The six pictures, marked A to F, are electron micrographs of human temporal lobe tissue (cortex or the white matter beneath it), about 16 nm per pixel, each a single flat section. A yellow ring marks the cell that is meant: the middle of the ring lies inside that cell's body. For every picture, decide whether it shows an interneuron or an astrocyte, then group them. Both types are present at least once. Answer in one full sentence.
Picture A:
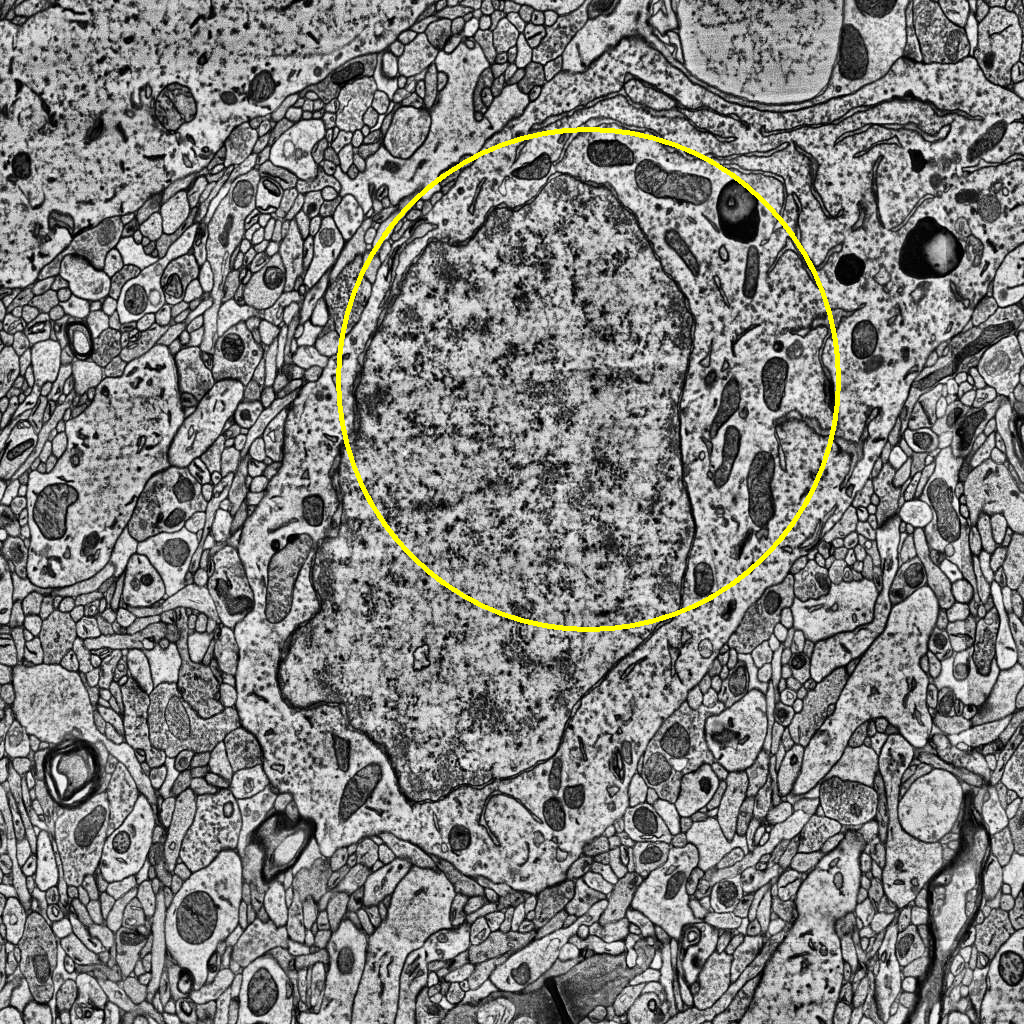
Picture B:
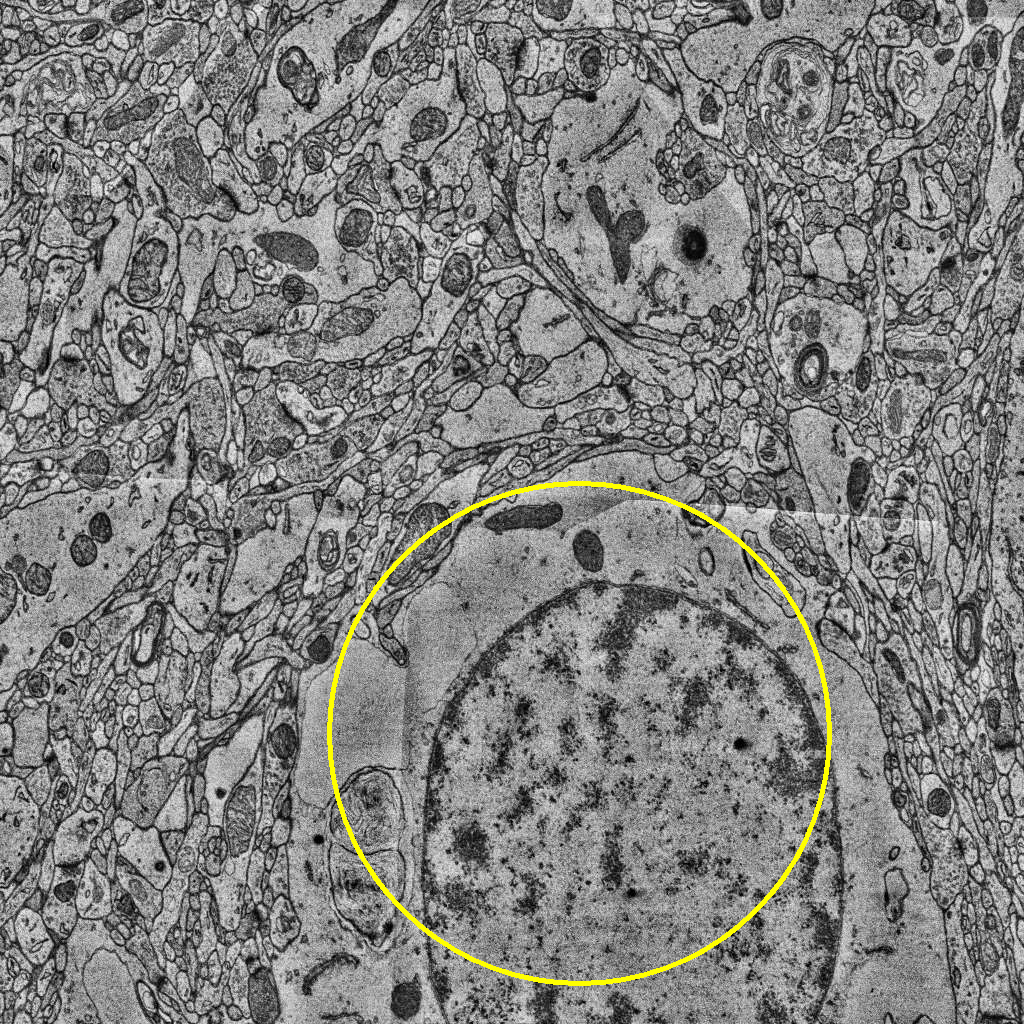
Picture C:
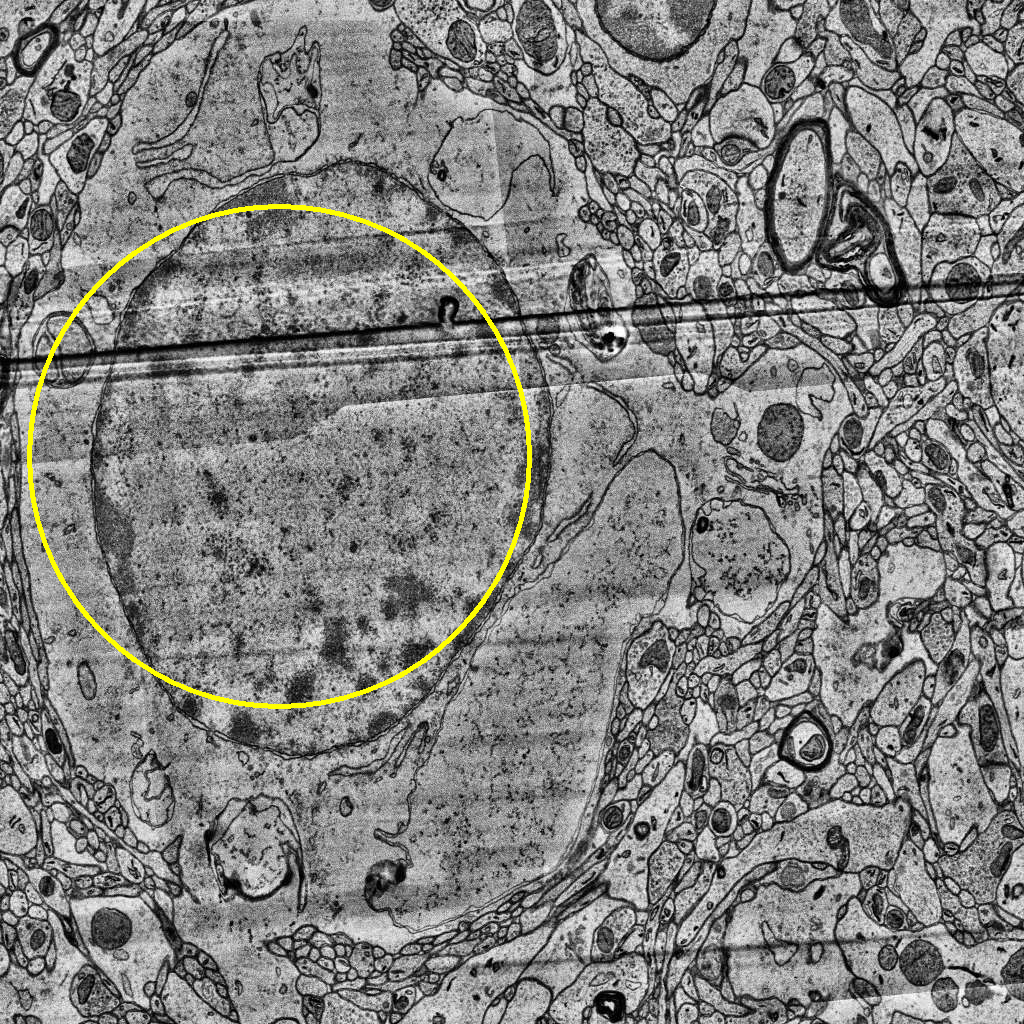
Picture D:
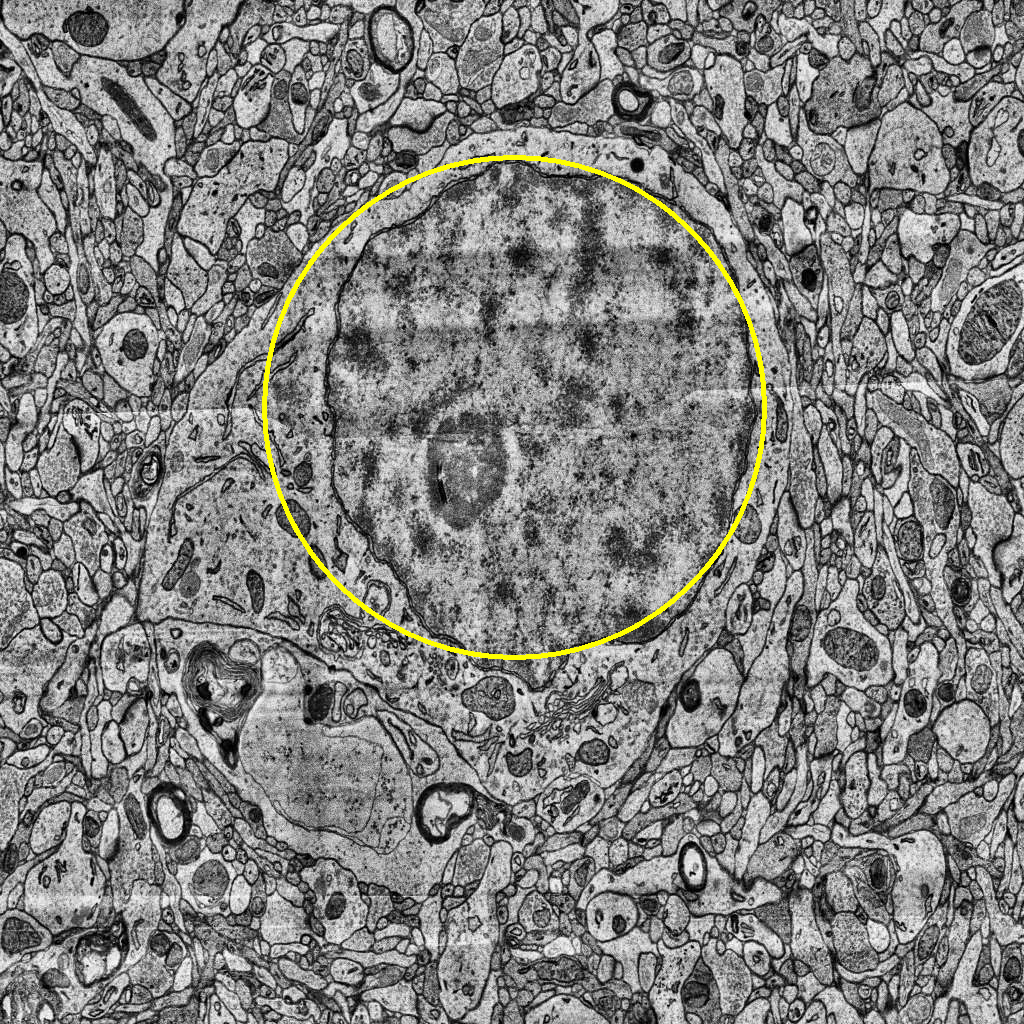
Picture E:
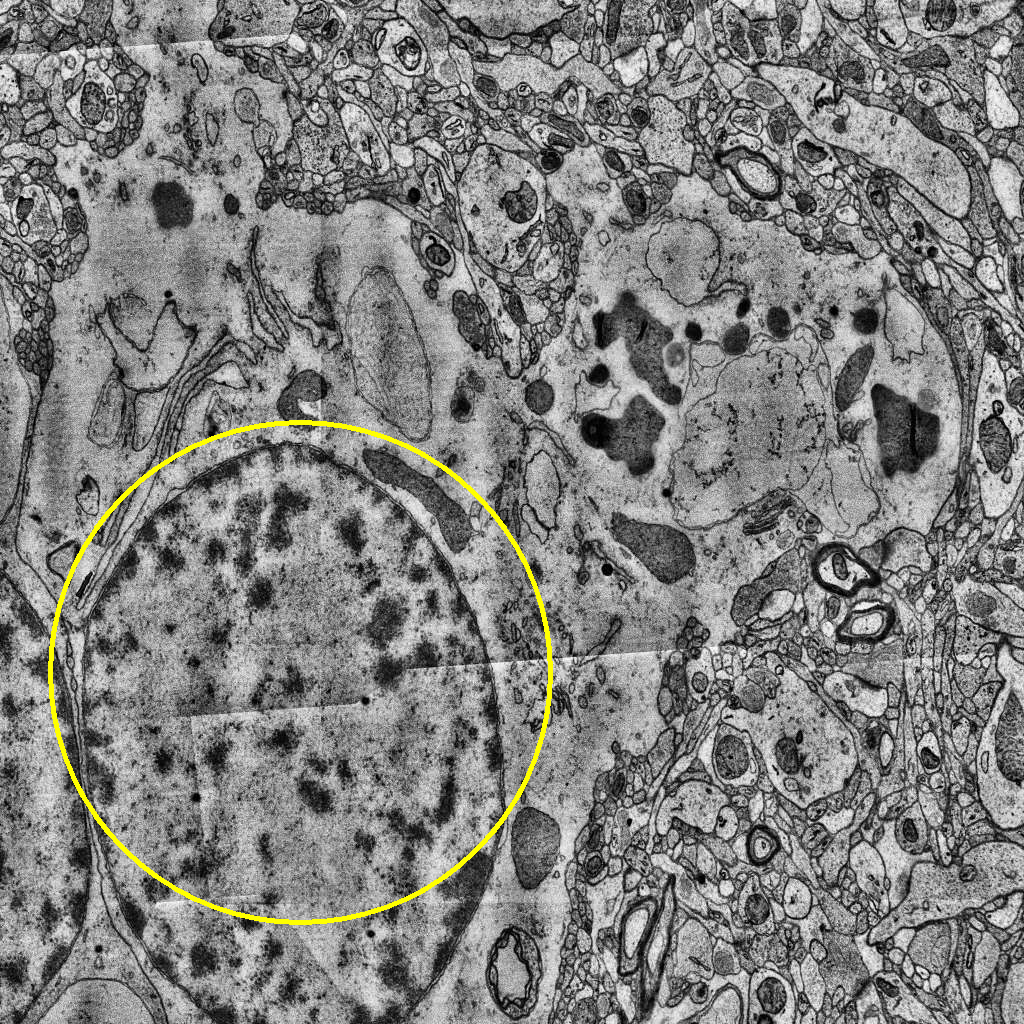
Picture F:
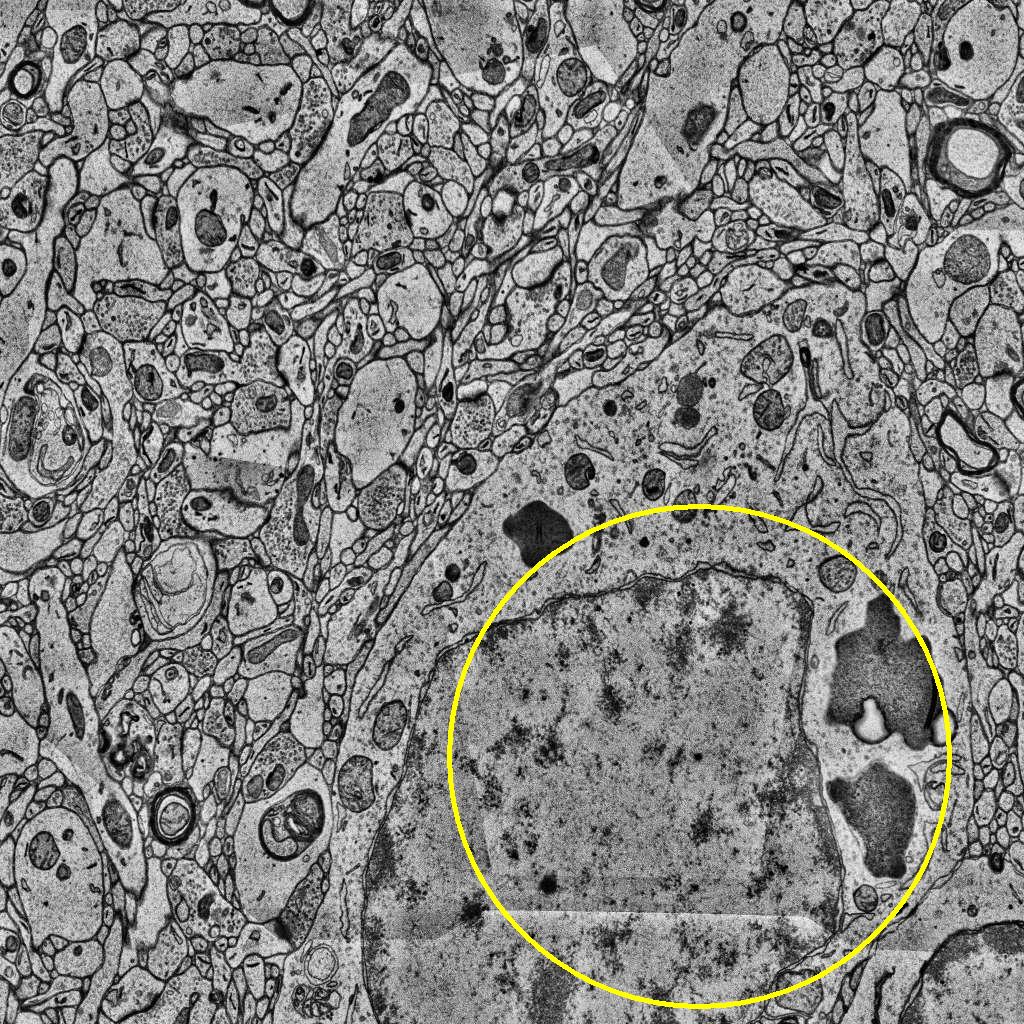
Pictures A, D and F show interneurons, while pictures B, C and E show astrocytes.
